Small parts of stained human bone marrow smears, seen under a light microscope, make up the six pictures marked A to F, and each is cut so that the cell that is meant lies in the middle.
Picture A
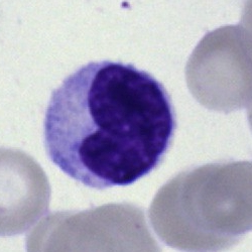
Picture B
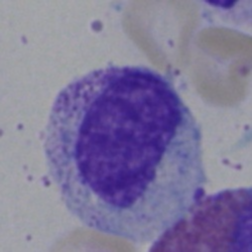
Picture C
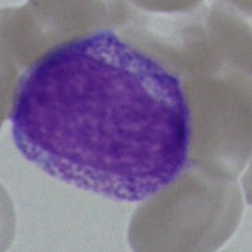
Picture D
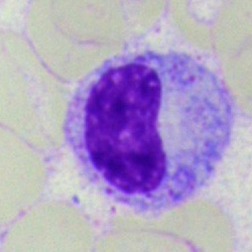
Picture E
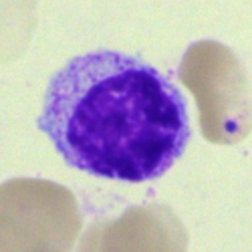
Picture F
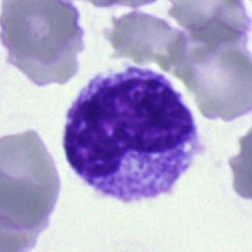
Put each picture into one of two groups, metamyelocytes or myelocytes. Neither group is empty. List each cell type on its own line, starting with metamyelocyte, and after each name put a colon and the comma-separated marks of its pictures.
metamyelocyte: A, B, D, F
myelocyte: C, E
